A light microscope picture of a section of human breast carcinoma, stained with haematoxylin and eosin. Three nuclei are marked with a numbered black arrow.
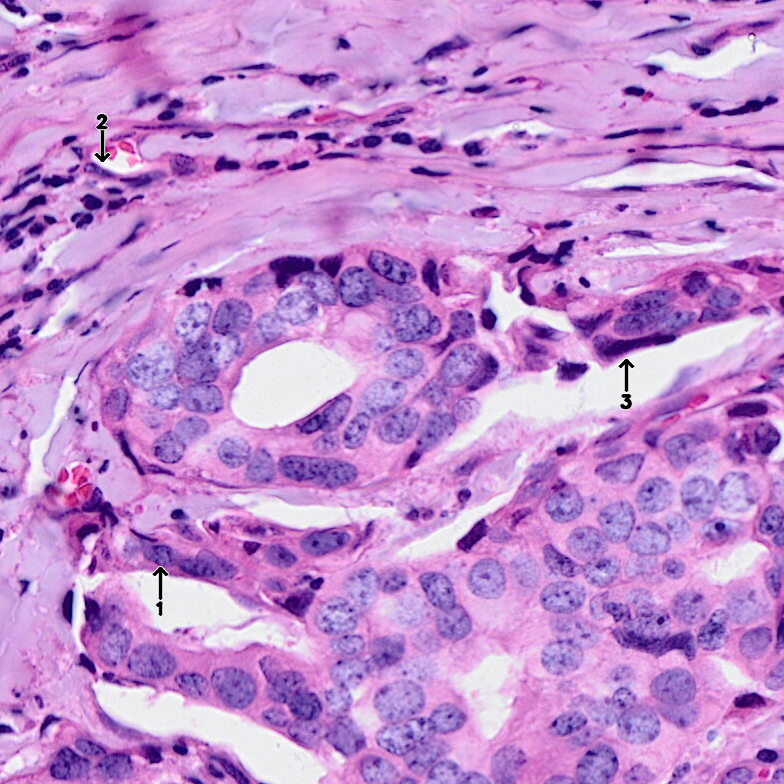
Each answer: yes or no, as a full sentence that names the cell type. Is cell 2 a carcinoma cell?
No, cell 2, which is an endothelial cell, is not a carcinoma cell.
